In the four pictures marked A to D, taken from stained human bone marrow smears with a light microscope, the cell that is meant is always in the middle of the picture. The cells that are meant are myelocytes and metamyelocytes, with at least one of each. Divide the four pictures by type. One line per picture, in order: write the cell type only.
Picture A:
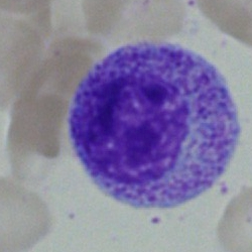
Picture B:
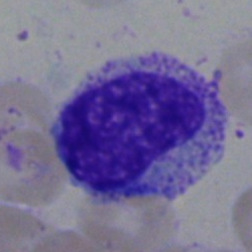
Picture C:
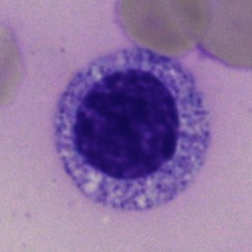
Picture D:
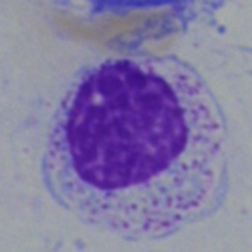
myelocyte
metamyelocyte
myelocyte
myelocyte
